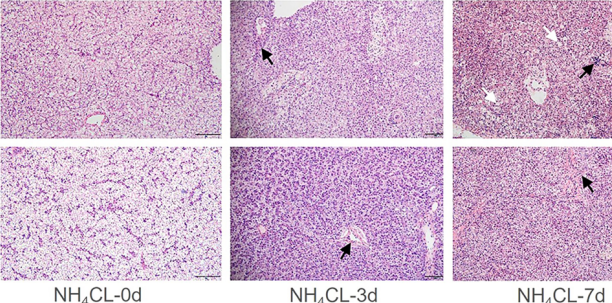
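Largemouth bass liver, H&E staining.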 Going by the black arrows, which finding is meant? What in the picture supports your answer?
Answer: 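Aggregation of inflammatory cells. The black arrows point to small foci in the liver tissue that look different from the surrounding parenchyma.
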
